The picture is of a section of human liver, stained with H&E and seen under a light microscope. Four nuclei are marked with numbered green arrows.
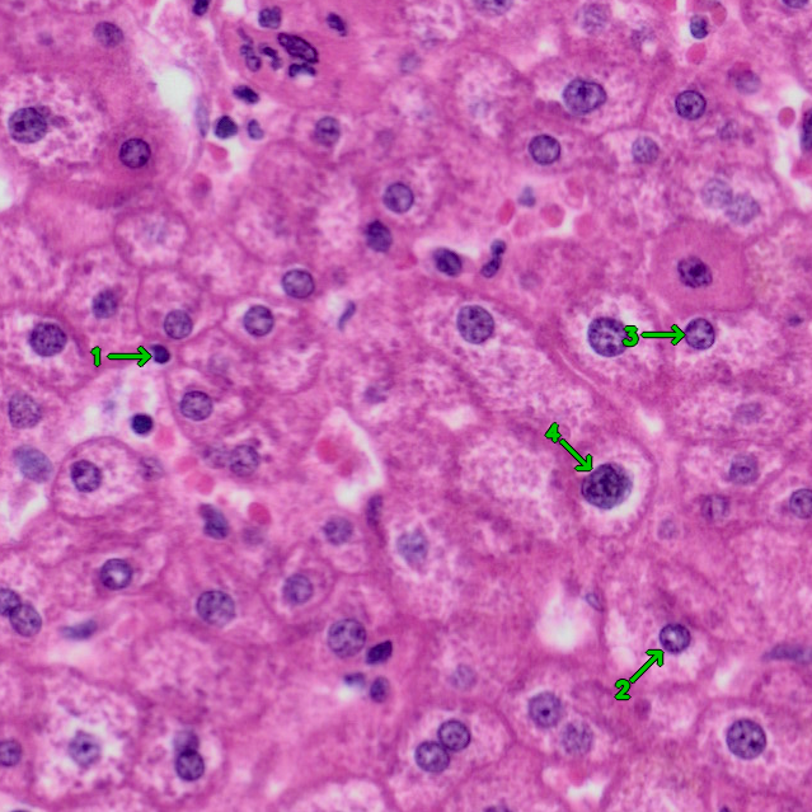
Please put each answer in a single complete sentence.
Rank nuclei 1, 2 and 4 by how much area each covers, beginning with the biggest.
By area, largest first, they run 4, 2, 1.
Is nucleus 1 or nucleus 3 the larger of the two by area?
It is nucleus 3, which covers about 2.5 times the area of nucleus 1.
